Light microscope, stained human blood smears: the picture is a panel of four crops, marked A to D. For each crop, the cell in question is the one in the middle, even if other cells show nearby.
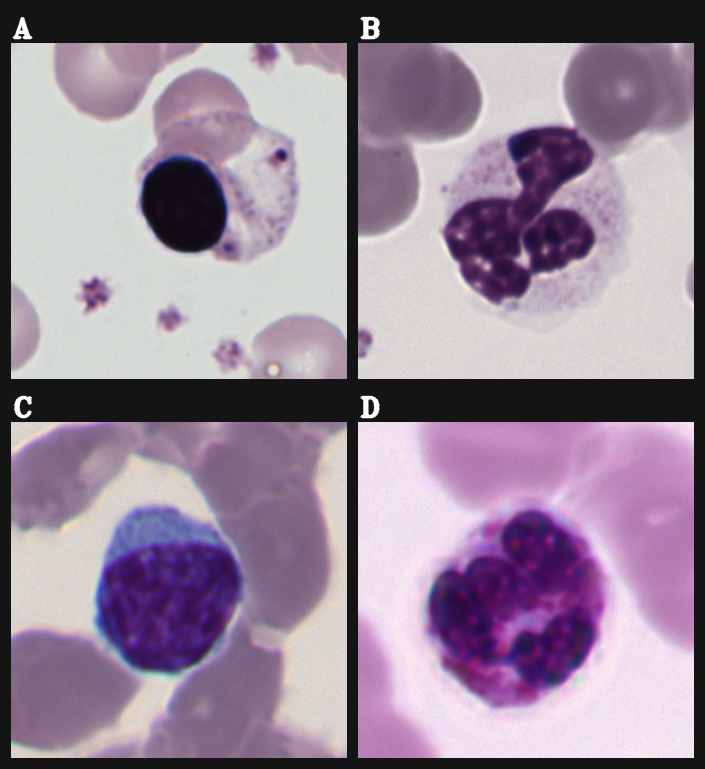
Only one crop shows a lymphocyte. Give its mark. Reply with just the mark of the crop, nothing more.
C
